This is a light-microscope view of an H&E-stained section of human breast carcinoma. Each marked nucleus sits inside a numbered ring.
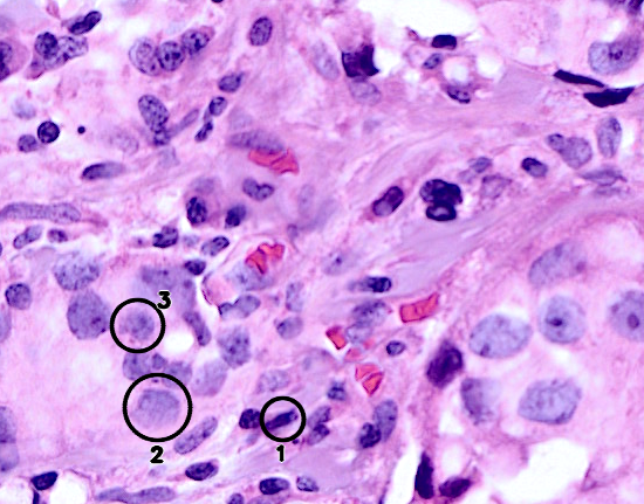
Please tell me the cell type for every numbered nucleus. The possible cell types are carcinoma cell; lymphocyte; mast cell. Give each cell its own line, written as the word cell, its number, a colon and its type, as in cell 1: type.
cell 1: lymphocyte
cell 2: carcinoma cell
cell 3: carcinoma cell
